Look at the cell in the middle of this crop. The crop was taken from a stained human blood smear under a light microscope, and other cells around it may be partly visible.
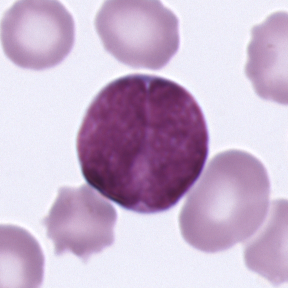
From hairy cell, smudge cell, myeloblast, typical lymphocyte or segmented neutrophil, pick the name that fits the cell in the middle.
myeloblast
